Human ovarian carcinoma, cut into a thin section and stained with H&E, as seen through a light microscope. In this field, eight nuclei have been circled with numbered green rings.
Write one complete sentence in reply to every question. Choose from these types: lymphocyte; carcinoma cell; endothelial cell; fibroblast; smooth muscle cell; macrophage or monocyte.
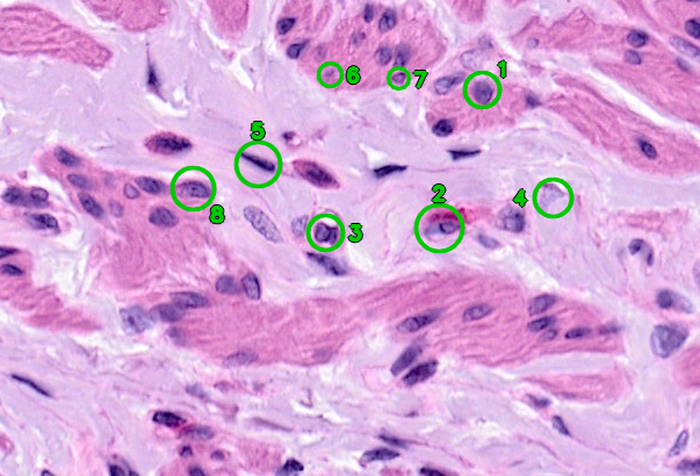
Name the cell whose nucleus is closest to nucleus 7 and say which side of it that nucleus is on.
Just above nucleus 7 lies the nearest nucleus, which belongs to a smooth muscle cell.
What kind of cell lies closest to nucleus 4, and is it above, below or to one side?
The nearest nucleus is that of an endothelial cell and lies below and to the left of nucleus 4.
